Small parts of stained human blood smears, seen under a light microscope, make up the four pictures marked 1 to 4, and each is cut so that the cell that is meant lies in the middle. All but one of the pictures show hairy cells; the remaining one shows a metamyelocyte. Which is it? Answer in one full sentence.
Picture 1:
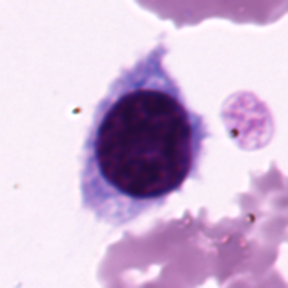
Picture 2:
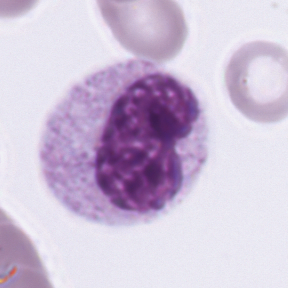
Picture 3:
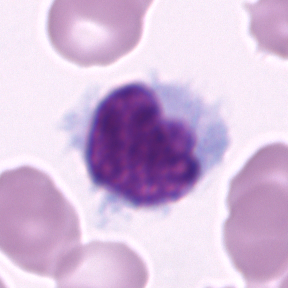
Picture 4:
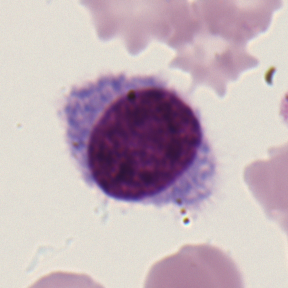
The metamyelocyte is the one in picture 2.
